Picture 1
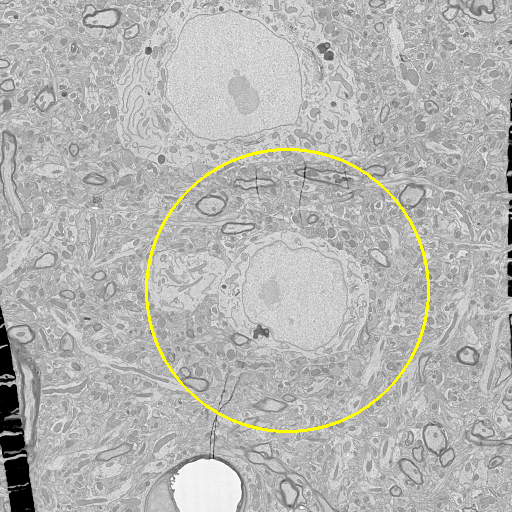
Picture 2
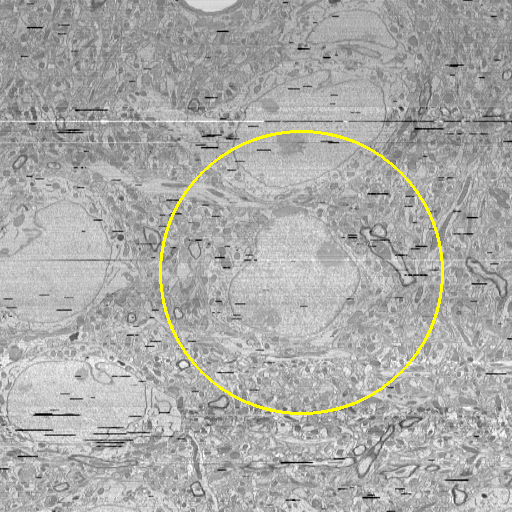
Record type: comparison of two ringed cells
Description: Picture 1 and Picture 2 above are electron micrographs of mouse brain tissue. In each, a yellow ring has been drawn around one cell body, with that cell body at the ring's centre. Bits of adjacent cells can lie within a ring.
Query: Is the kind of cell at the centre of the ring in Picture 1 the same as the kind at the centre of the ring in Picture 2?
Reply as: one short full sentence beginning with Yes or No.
No, the two ringed cells are of two separate kinds.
